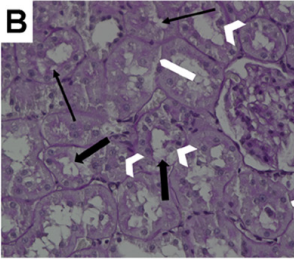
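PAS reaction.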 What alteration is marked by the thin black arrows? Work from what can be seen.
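Tubular epithelial cells with many clear cytoplasmic spaces. On this evidence: vacuolization.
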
